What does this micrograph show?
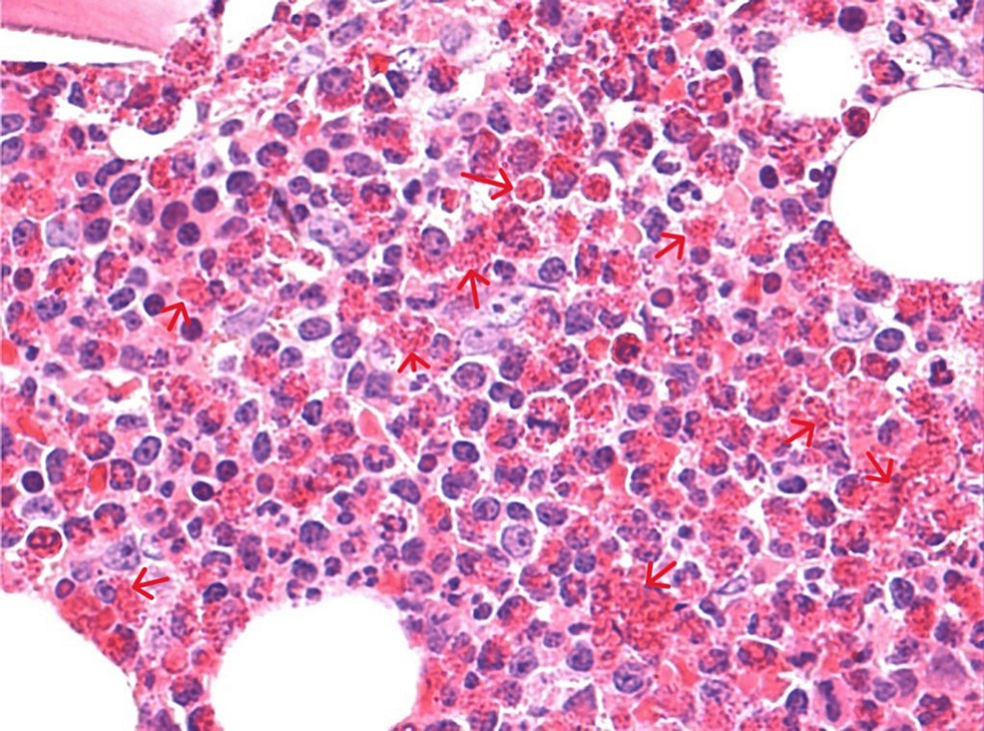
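This densely cellular bone marrow is crowded with eosinophils, recognisable by cytoplasm stuffed with coarse, bright red-orange granules around round, indented or lobed dark purple nuclei. They lie in large numbers among other marrow precursor cells, which have round purple nuclei and paler pink or lilac cytoplasm. Only a few round empty fat spaces interrupt the sheet of cells, and a strip of pink bone edges the top left corner. The cells are packed closely without a regular pattern, and the sheer proportion of red-granulated cells gives the whole field a strikingly red appearance unlike normal marrow.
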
